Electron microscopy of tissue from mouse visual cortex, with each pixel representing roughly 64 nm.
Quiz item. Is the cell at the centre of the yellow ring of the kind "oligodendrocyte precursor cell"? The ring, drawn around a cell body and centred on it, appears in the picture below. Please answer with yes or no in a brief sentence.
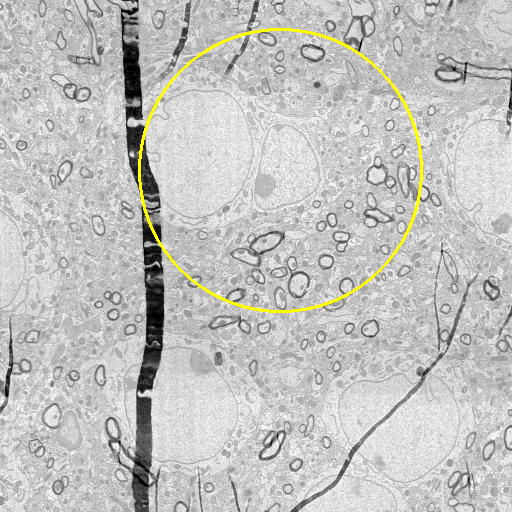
Yes, it is that kind of cell.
